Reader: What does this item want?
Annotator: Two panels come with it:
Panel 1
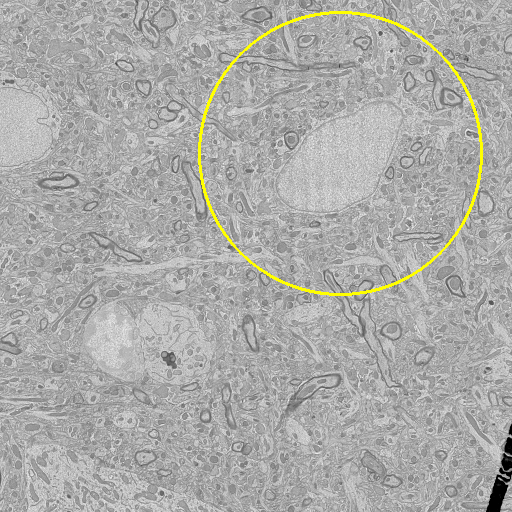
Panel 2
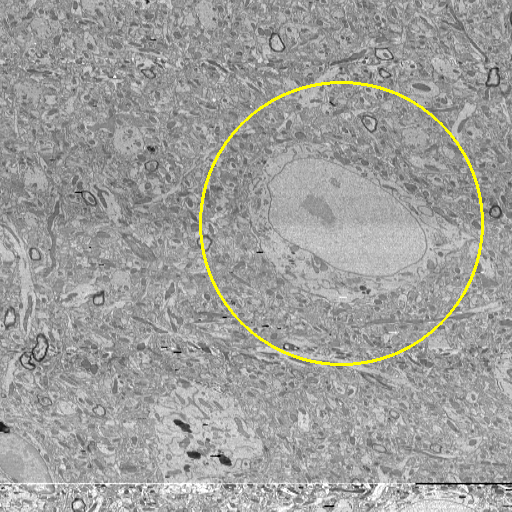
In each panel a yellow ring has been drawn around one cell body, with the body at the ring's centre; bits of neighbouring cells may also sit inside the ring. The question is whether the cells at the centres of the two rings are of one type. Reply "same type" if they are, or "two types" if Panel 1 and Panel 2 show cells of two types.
two types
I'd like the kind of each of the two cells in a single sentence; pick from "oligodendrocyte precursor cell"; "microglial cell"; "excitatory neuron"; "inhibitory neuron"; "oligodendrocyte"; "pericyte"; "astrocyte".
The first ring marks an astrocyte, and the second ring marks an excitatory neuron.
